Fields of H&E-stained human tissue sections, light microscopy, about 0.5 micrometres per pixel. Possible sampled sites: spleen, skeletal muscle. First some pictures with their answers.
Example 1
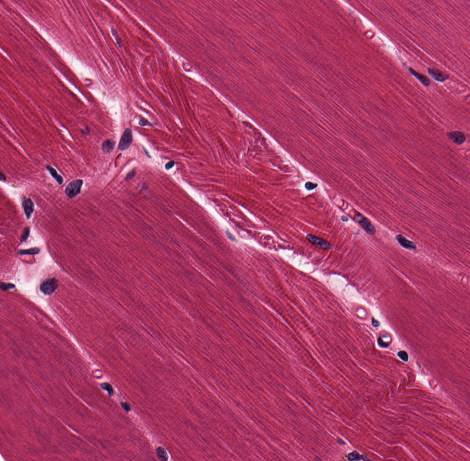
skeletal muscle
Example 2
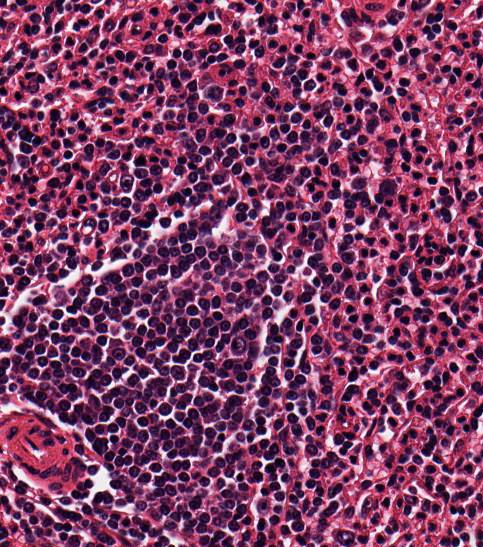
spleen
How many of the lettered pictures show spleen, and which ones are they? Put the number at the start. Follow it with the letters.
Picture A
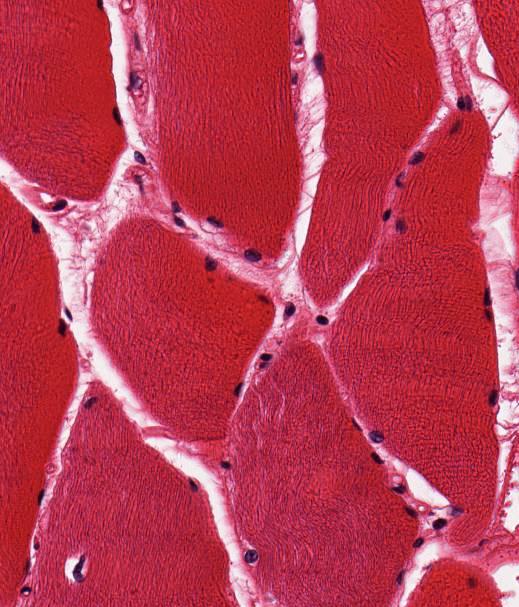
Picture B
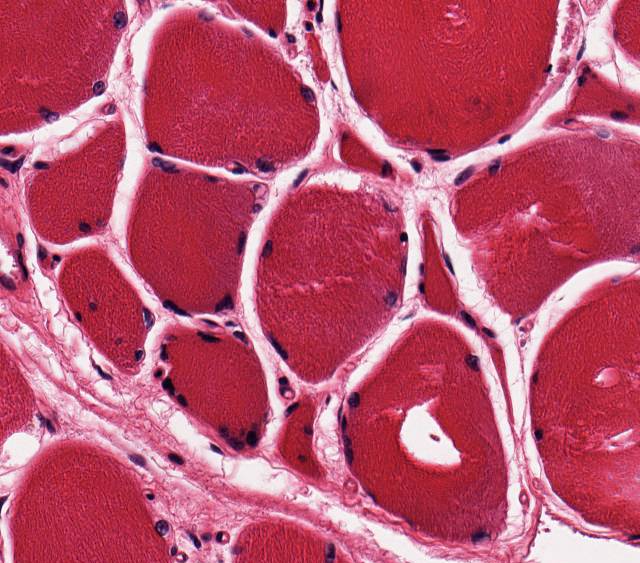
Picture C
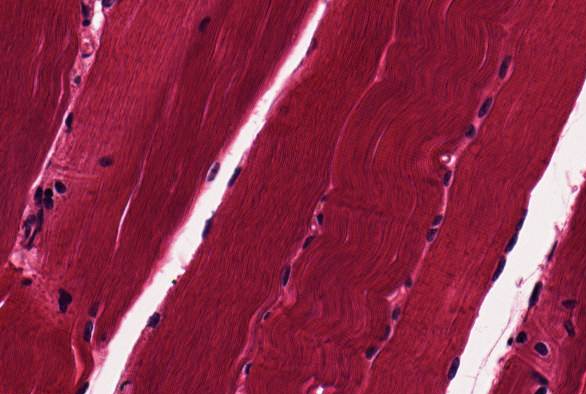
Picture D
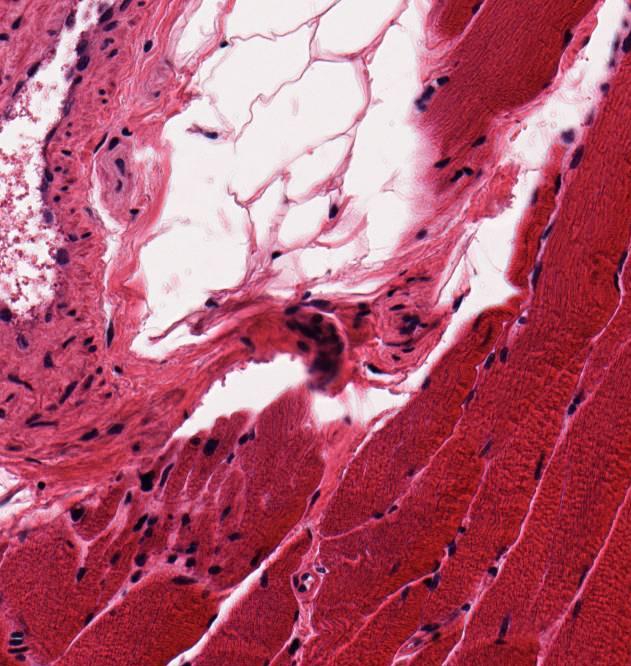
0, none of them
